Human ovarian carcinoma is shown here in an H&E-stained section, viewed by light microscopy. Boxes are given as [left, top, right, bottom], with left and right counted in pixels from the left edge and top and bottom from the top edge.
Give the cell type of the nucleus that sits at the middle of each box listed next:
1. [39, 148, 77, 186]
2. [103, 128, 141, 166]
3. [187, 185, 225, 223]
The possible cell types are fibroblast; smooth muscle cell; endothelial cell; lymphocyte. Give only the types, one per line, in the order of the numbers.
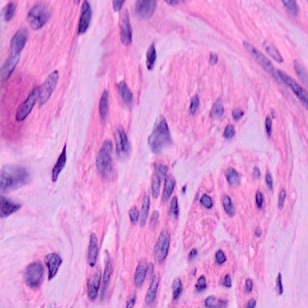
fibroblast
smooth muscle cell
smooth muscle cell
